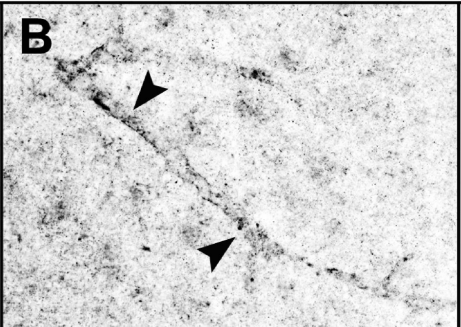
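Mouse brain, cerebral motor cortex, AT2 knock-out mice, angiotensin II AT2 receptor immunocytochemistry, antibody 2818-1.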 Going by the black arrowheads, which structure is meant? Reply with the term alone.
Parenchymal microvessels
